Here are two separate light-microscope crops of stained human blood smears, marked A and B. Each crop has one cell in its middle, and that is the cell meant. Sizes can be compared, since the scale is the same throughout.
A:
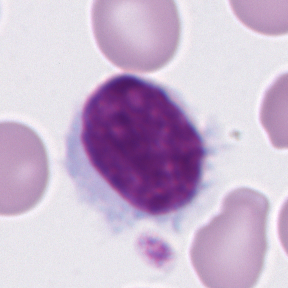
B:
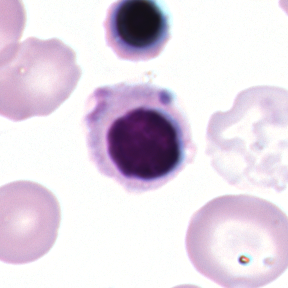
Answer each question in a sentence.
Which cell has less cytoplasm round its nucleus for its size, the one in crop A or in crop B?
The nucleus fills more of the cell in crop A than in crop B.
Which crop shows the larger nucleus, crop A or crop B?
The nucleus in crop A is larger, with about 3 times the area of the one in crop B.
